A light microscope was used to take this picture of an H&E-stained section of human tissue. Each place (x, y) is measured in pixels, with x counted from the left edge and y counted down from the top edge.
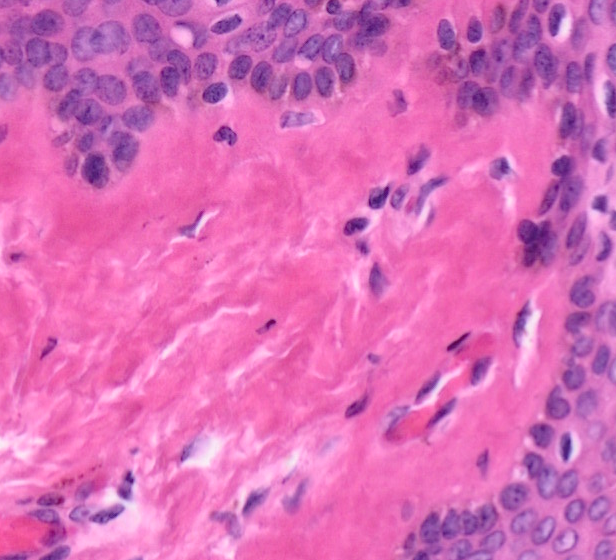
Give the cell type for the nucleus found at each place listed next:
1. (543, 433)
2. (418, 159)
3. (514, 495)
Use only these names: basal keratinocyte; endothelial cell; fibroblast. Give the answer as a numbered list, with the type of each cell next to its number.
1. basal keratinocyte
2. fibroblast
3. basal keratinocyte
